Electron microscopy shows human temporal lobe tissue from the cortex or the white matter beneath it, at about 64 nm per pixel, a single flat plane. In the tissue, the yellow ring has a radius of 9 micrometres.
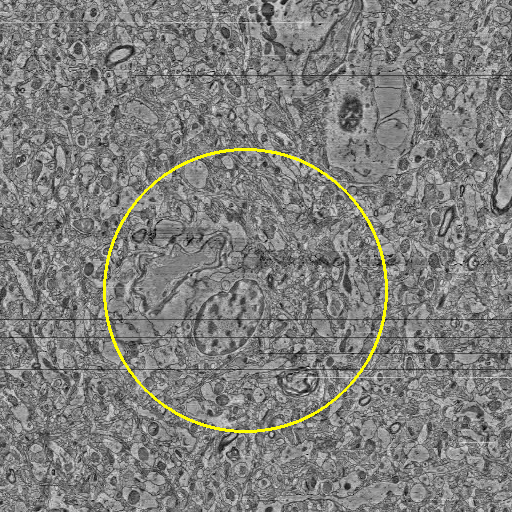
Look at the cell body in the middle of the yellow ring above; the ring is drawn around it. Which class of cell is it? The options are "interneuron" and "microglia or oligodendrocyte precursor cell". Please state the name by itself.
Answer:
microglia or oligodendrocyte precursor cell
